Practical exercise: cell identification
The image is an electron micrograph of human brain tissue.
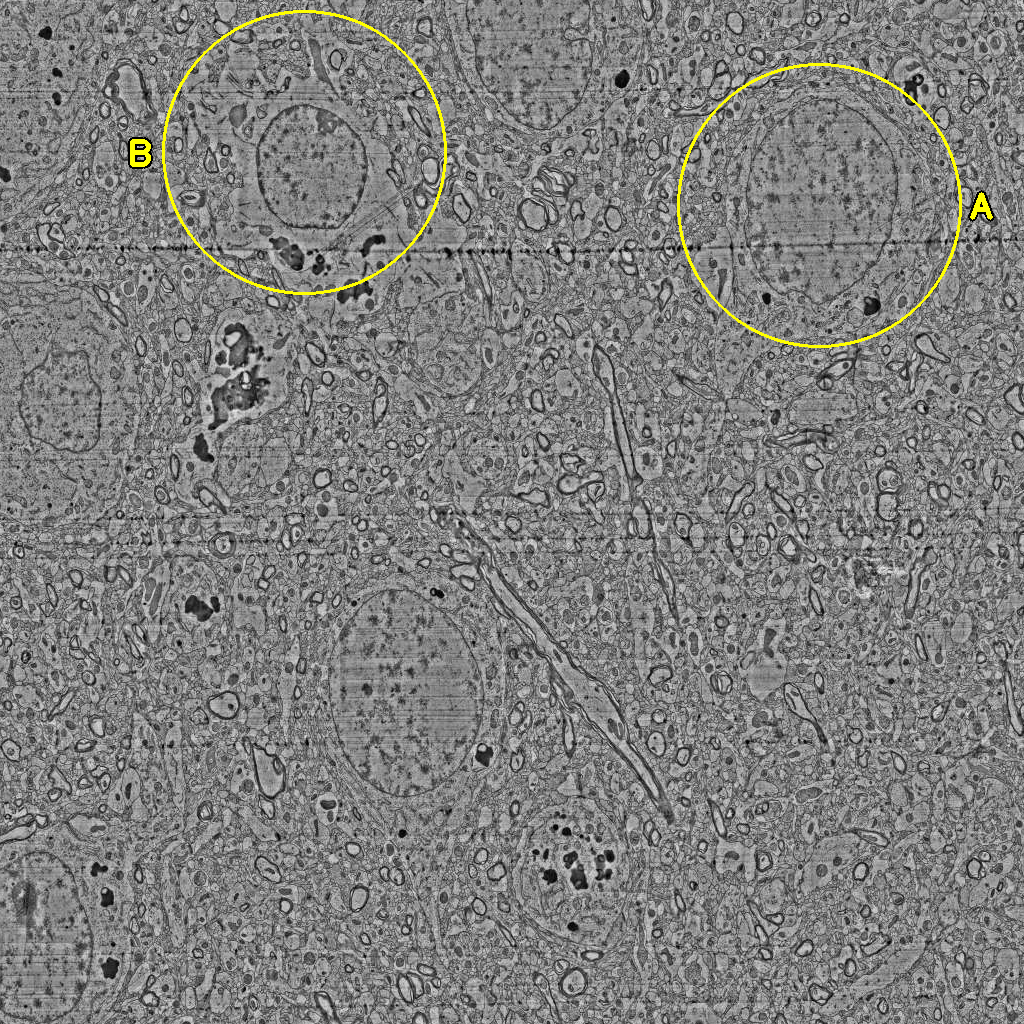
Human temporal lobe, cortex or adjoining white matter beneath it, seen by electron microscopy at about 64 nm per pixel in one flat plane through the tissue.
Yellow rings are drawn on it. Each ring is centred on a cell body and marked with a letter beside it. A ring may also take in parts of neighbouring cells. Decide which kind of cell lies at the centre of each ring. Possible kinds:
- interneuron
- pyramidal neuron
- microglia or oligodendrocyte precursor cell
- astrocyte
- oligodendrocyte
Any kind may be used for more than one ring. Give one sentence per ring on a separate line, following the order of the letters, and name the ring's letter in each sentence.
The cell in the middle of ring A is a pyramidal neuron.
The cell in the middle of ring B is an astrocyte.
